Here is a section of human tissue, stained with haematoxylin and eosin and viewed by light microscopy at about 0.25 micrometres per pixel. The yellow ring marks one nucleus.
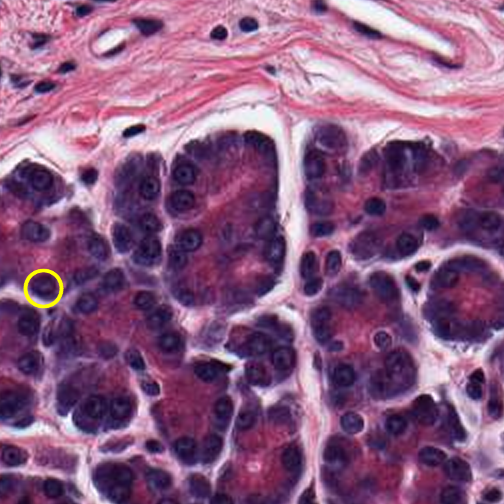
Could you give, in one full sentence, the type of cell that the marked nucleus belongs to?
The nucleus carrying the mark is the nucleus of a pancreatic acinar cell.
